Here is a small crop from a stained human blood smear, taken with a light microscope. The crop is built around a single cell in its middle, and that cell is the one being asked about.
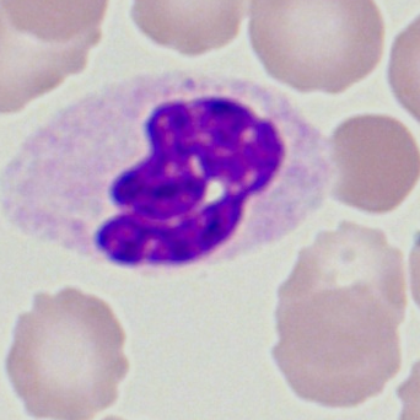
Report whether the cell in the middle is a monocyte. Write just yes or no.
no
